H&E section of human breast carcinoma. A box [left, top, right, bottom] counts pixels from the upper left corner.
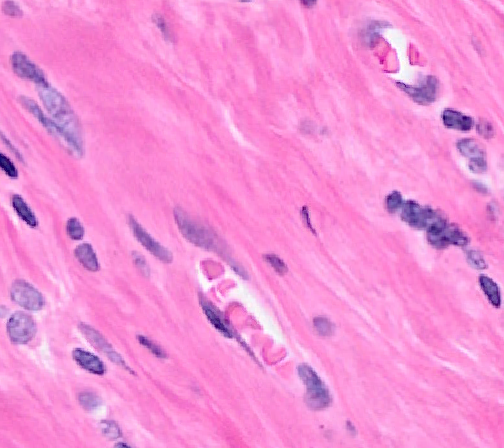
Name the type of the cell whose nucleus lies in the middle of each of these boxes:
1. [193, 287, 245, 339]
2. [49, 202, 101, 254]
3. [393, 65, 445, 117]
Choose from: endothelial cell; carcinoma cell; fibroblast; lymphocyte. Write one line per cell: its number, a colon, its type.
1: endothelial cell
2: lymphocyte
3: endothelial cell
